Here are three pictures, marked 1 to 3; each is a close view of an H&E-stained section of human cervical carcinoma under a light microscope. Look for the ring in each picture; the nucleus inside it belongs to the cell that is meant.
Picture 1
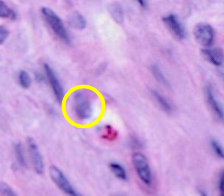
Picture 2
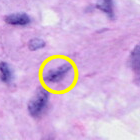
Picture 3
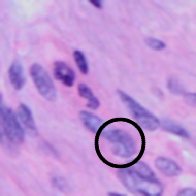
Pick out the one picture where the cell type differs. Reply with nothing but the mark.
2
